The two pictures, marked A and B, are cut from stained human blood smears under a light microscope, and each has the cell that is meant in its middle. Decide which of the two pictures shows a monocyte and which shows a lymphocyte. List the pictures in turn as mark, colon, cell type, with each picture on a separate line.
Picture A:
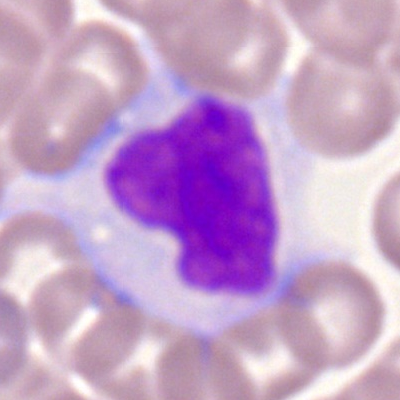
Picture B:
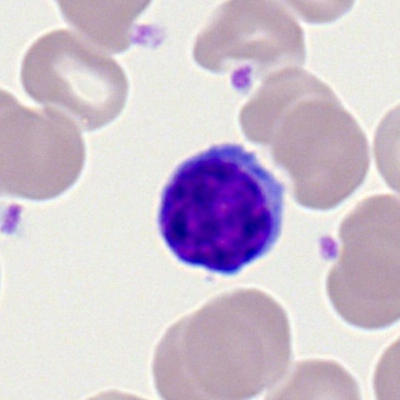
A: monocyte
B: lymphocyte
